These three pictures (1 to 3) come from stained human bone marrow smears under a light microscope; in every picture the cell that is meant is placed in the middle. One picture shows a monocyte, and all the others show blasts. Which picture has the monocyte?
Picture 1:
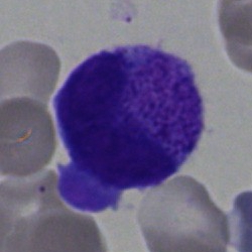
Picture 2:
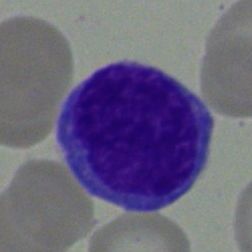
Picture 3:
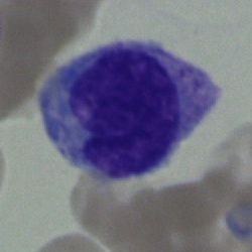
3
